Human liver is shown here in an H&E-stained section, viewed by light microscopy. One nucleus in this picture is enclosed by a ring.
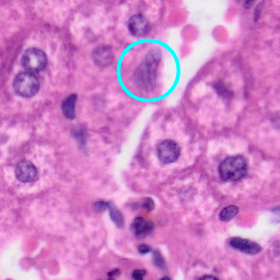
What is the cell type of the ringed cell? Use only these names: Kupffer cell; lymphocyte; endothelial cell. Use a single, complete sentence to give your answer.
In the stained section, the ringed cell is a Kupffer cell.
